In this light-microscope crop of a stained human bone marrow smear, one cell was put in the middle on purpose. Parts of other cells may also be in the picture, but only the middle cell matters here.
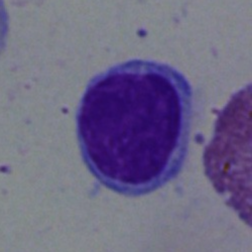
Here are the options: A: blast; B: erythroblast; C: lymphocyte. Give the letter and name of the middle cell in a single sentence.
In the centre of the crop there is a lymphocyte, making option C correct.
